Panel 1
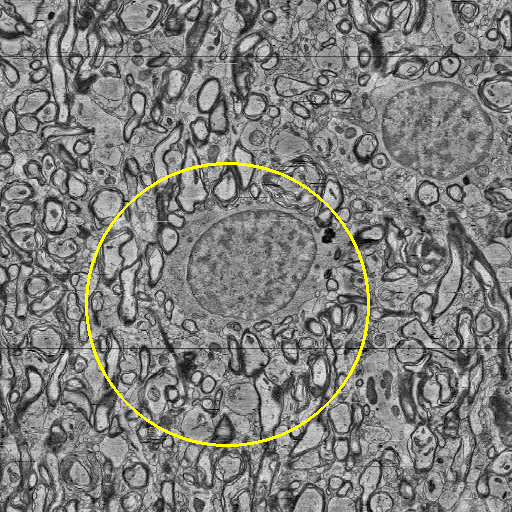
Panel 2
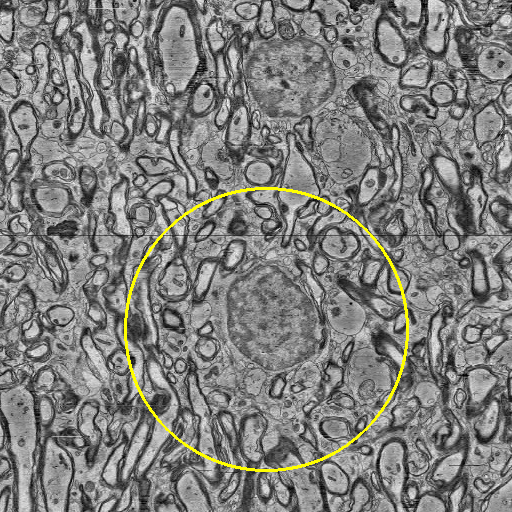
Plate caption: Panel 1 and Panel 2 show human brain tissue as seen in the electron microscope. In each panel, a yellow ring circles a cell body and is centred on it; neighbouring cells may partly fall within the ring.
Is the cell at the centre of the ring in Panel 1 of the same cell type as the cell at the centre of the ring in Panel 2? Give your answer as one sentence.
Yes, the two cells are of the same type.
